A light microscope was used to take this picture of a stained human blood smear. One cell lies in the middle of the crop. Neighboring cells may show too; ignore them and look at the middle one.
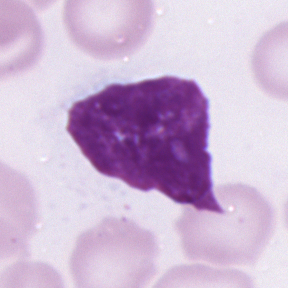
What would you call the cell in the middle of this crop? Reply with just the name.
smudge cell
